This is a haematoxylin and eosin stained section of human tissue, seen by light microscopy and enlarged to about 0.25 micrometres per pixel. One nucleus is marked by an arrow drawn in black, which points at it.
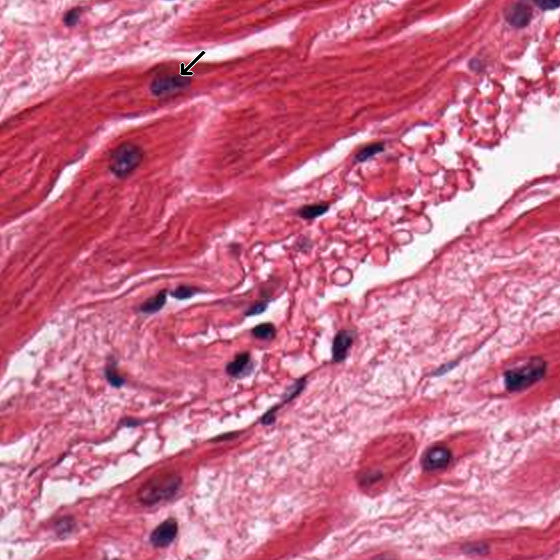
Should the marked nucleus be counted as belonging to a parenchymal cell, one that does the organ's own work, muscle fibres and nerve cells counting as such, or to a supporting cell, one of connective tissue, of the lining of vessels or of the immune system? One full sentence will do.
The marked nucleus is the nucleus of a parenchymal cell, namely a cardiomyocyte.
